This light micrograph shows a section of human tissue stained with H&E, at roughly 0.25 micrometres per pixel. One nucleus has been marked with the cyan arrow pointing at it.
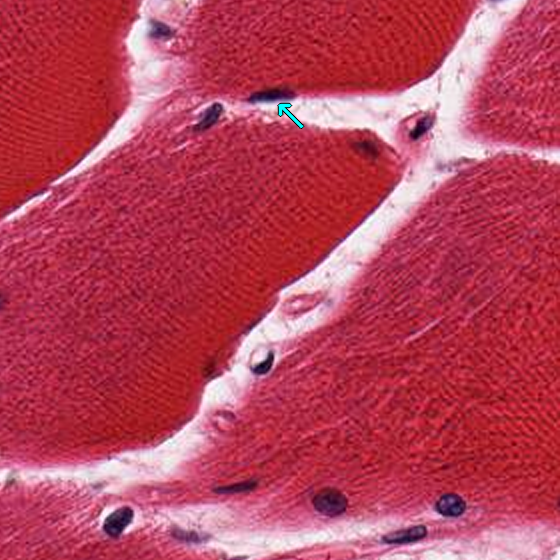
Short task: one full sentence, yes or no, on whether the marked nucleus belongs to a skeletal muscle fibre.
Yes, a skeletal muscle fibre contains the marked nucleus.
